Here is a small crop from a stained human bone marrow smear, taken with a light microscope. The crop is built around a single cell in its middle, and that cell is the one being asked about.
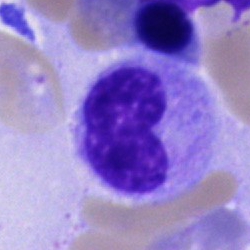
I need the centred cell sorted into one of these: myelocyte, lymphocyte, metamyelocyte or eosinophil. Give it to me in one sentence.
Centrally within this crop lies a metamyelocyte.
